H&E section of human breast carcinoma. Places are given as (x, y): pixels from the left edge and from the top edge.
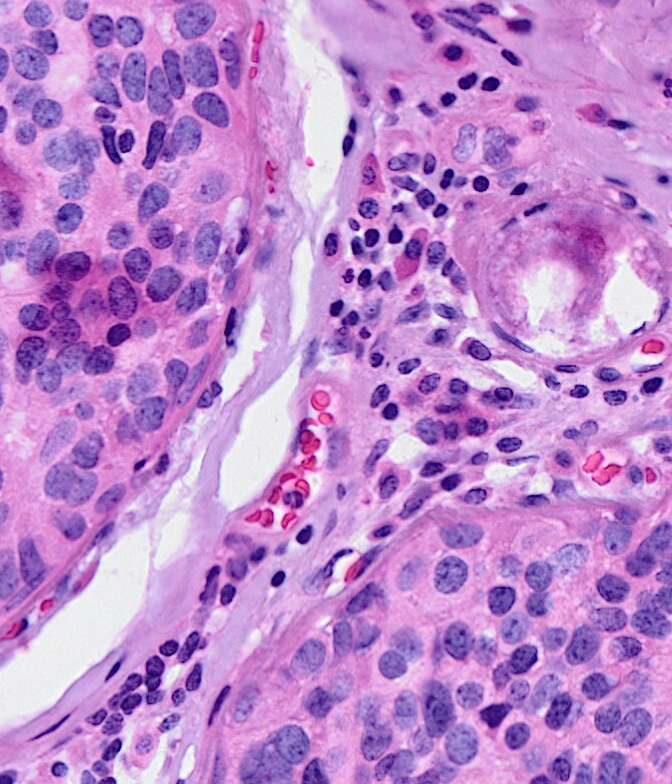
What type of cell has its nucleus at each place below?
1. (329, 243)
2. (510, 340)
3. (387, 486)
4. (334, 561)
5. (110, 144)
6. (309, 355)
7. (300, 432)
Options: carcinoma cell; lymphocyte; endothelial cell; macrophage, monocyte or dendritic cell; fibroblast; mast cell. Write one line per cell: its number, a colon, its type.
1: mast cell
2: fibroblast
3: mast cell
4: endothelial cell
5: carcinoma cell
6: fibroblast
7: endothelial cell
